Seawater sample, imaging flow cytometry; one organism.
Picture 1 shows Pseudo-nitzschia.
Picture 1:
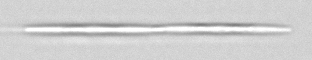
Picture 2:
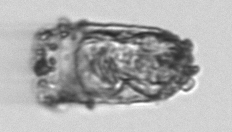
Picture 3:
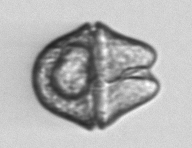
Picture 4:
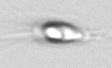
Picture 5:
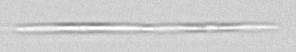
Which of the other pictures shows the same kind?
Picture 5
